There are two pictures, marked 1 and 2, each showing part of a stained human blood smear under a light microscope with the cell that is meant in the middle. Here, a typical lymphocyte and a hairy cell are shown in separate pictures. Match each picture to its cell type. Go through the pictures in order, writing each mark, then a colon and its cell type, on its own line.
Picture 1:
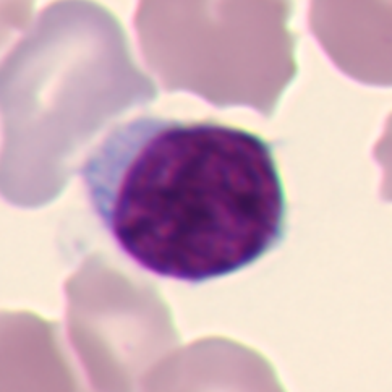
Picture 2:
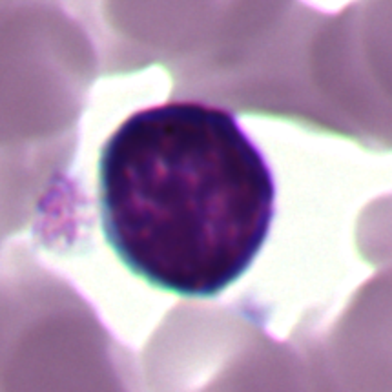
1: hairy cell
2: typical lymphocyte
